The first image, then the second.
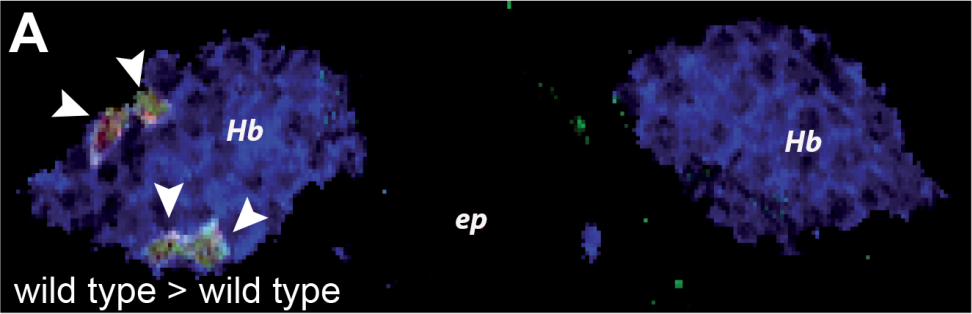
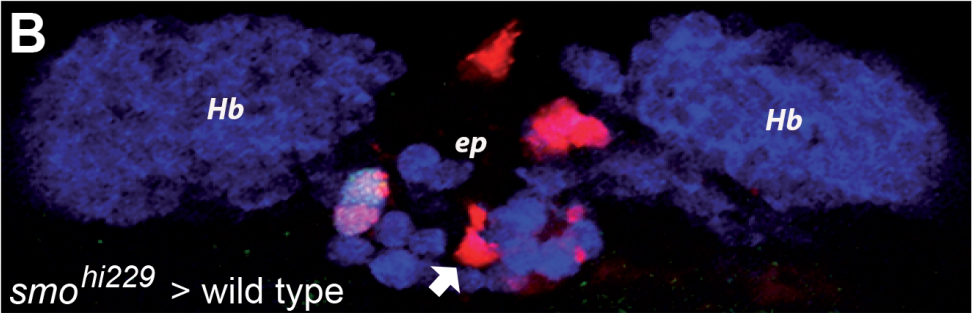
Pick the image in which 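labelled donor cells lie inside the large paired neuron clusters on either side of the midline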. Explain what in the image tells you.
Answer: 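First image: red-and-white cells sit at the edge of the left large blue mass. On this evidence: the first image.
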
